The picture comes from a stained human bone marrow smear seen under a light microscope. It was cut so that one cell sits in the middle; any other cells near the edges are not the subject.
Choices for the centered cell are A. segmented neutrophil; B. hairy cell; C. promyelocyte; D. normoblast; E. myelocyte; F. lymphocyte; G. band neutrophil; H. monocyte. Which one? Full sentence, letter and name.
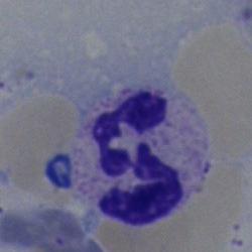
Located in the middle of the crop is a segmented neutrophil, and option A is therefore correct.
